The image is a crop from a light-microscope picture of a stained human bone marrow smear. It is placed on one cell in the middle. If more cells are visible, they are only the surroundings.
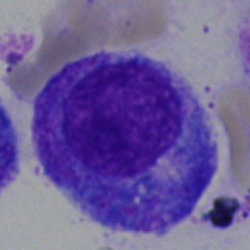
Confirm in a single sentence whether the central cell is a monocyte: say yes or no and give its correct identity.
No, in this crop the central cell is a promyelocyte instead of a monocyte.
